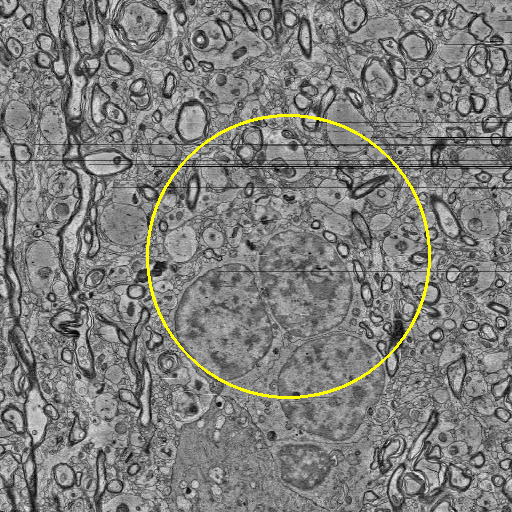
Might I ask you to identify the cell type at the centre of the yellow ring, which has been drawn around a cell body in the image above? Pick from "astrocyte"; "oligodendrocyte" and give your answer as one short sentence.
The centre of the ring falls on an oligodendrocyte.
